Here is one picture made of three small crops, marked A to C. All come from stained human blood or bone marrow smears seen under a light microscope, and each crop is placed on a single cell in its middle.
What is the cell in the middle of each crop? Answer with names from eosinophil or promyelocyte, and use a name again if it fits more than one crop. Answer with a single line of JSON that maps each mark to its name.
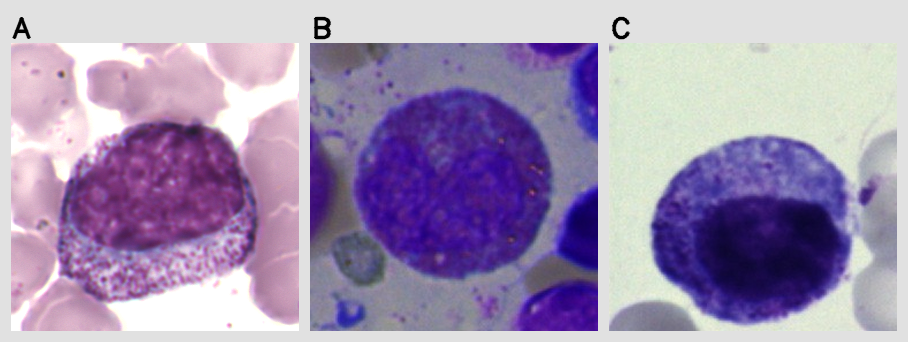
{"A": "promyelocyte", "B": "eosinophil", "C": "promyelocyte"}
